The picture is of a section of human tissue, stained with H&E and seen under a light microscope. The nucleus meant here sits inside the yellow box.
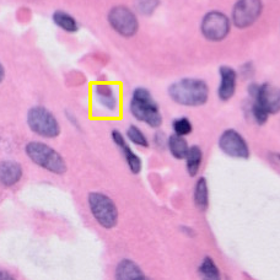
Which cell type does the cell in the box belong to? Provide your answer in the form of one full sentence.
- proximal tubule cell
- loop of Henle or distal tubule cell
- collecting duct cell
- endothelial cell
It is as an endothelial cell that the cell in the box is classified.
